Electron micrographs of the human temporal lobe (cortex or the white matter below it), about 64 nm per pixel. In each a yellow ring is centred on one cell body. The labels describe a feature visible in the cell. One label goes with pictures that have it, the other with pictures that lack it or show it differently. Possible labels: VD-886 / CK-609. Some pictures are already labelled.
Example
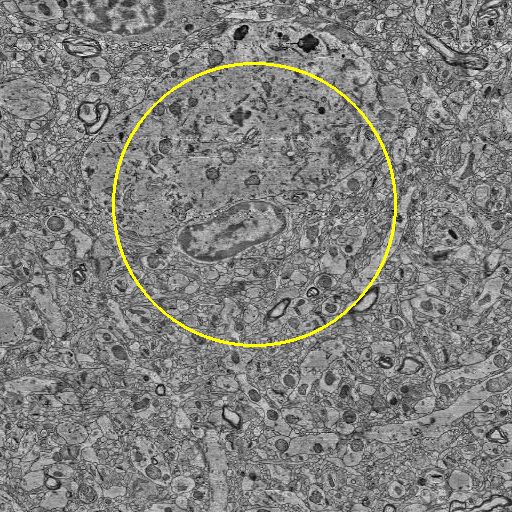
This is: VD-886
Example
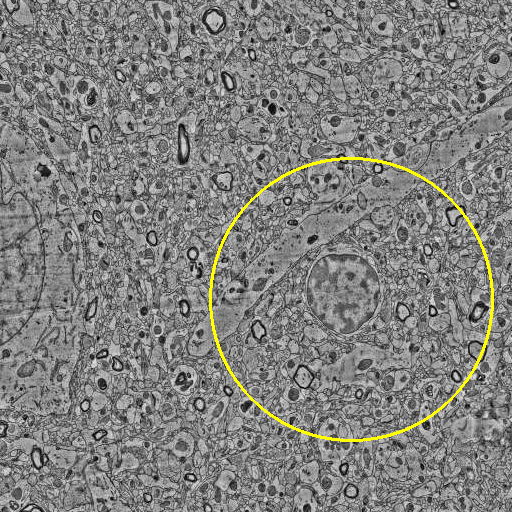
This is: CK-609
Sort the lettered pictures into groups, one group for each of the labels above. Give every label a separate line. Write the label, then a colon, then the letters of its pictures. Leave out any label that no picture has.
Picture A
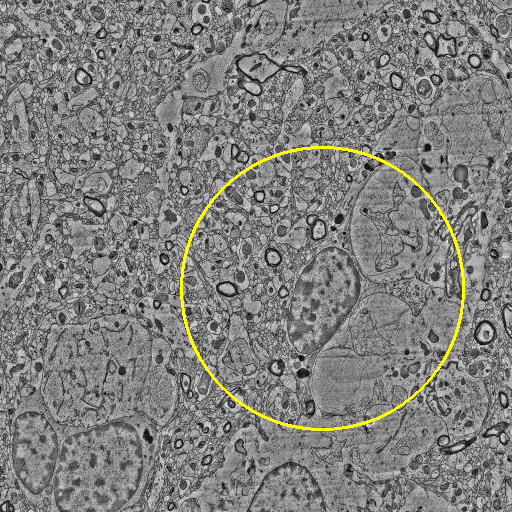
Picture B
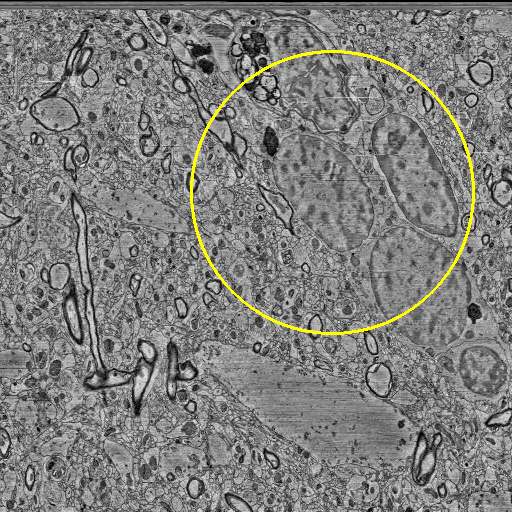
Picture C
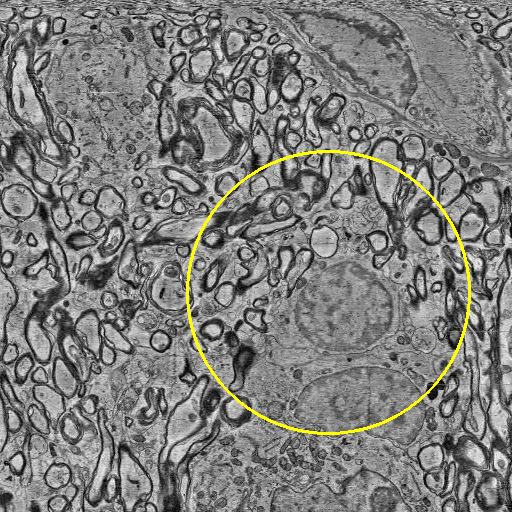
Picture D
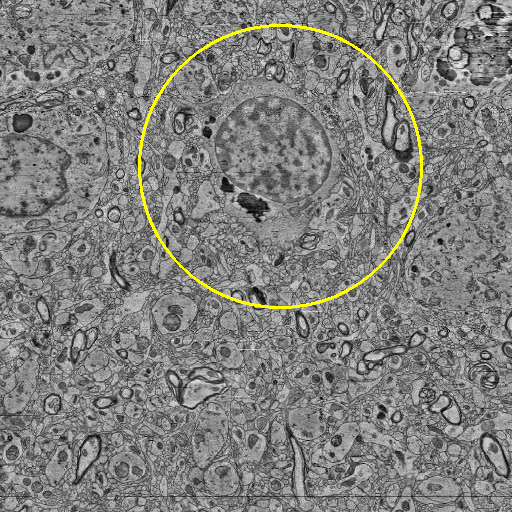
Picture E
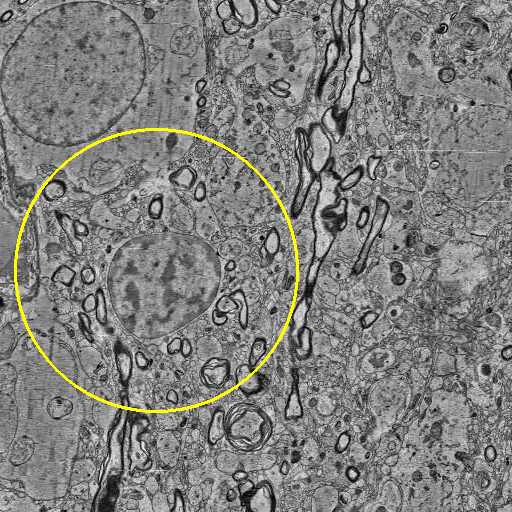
VD-886: A, B
CK-609: C, D, E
